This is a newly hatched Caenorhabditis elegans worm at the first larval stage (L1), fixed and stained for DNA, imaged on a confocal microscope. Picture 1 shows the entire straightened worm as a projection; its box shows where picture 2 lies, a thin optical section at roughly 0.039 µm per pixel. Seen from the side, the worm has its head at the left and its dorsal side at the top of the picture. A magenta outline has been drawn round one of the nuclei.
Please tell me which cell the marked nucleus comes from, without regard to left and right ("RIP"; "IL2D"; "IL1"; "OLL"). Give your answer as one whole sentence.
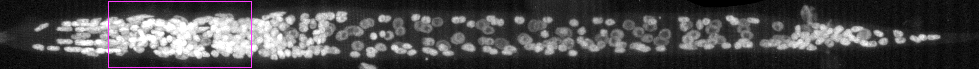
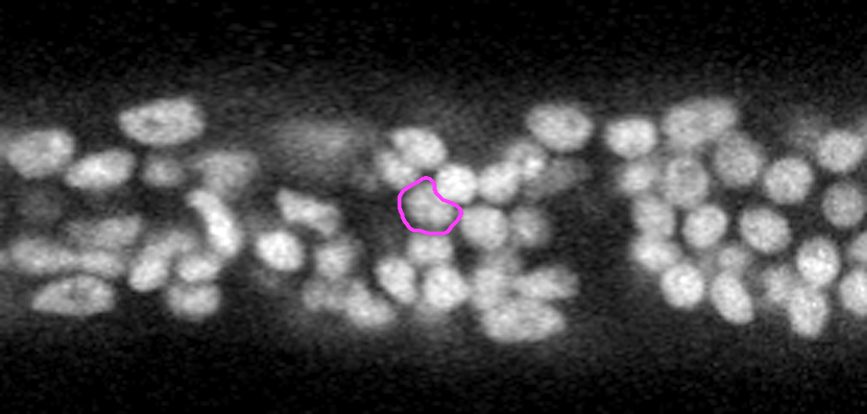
The marked nucleus is that of OLL, a neuron.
